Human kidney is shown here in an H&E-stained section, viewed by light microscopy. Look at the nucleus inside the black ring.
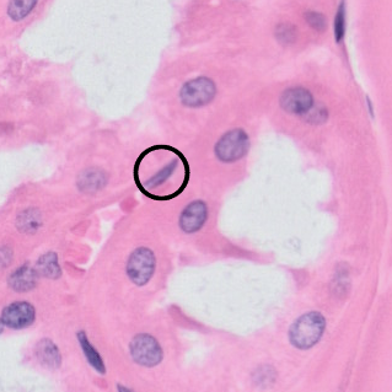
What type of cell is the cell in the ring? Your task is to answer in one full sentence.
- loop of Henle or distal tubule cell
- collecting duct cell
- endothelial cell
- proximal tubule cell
By cell type, the cell in the ring is an endothelial cell.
